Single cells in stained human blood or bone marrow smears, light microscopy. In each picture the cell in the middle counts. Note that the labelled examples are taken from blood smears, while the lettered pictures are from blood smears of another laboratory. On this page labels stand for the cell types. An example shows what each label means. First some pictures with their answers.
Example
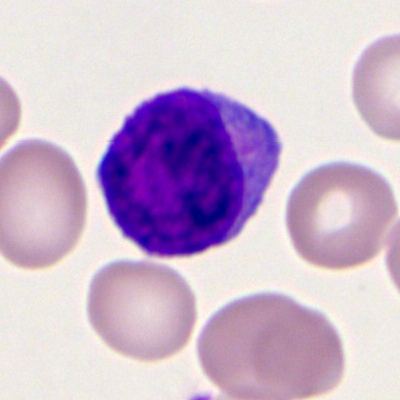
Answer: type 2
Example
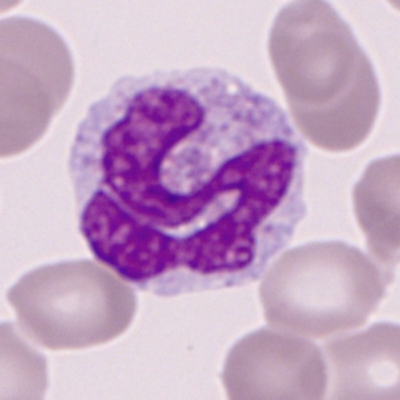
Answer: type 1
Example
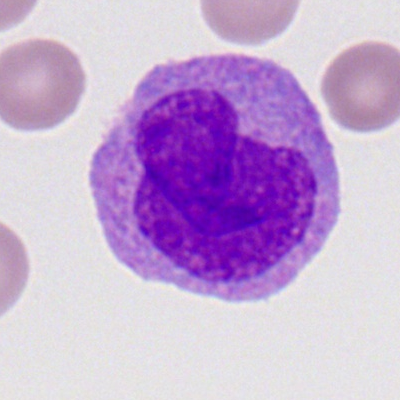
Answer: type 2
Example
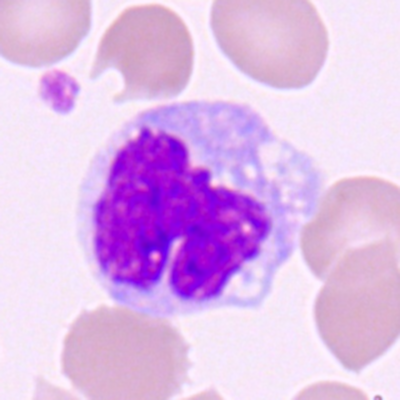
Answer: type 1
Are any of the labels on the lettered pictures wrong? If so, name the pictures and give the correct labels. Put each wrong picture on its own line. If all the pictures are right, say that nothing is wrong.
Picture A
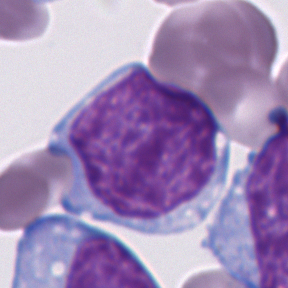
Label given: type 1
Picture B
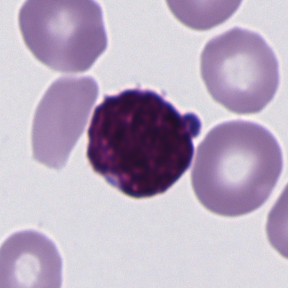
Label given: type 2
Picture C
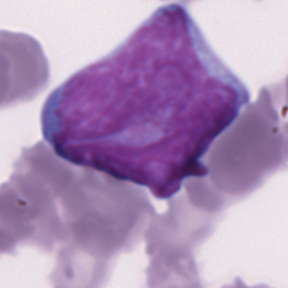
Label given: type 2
A: not type 1 but type 2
